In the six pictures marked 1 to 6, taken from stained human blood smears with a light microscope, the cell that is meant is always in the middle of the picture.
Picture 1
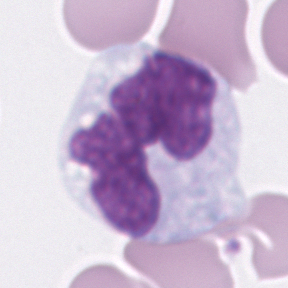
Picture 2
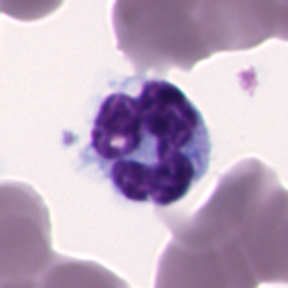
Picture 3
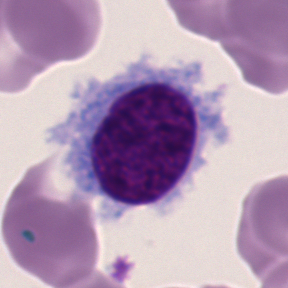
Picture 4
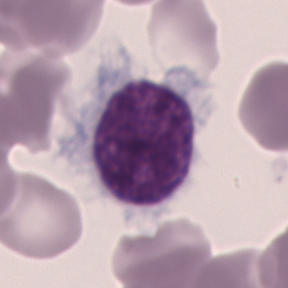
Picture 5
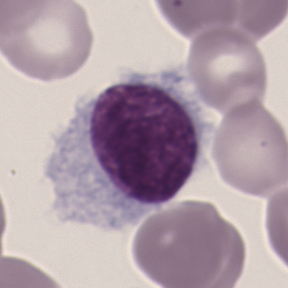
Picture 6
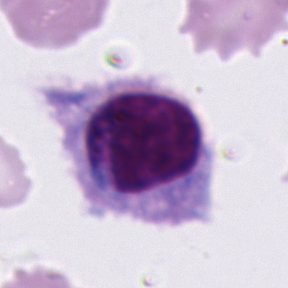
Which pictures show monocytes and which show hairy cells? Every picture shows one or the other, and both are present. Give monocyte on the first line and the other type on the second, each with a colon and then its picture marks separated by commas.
monocyte: 1, 2
hairy cell: 3, 4, 5, 6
